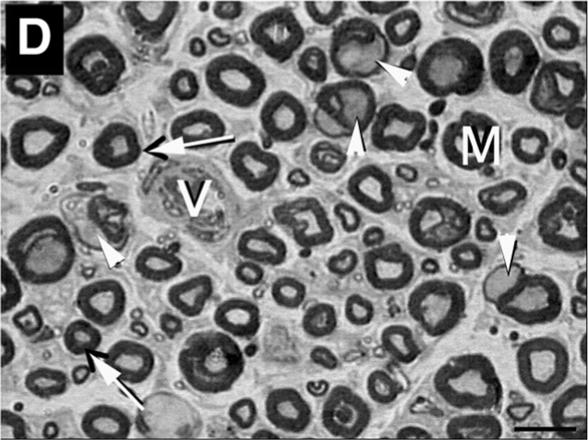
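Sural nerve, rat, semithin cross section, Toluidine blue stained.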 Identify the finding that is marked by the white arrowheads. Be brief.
severe myelin disruption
